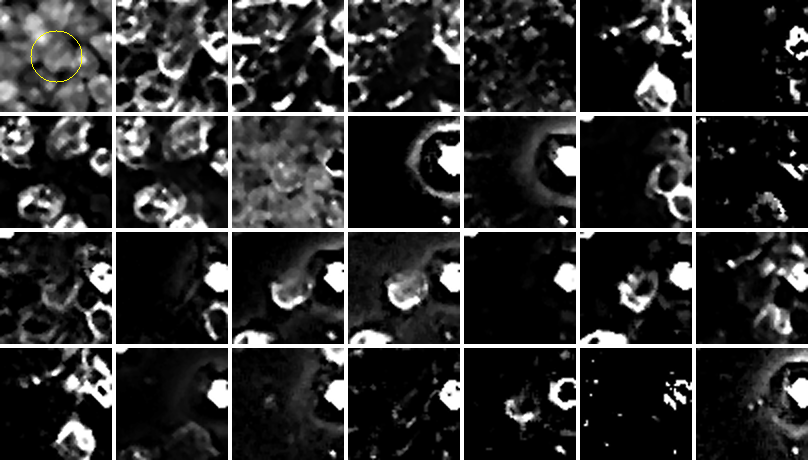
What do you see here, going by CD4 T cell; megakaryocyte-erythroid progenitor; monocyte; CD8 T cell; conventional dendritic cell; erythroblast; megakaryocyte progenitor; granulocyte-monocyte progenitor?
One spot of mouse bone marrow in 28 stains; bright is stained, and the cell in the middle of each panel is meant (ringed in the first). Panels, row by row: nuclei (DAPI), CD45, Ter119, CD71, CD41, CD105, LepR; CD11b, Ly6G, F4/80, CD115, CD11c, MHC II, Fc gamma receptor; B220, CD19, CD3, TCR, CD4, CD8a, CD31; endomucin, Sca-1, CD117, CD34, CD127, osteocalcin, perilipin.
I see a CD8 T cell.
